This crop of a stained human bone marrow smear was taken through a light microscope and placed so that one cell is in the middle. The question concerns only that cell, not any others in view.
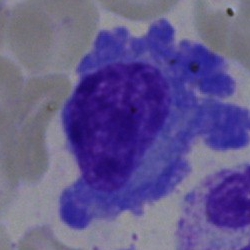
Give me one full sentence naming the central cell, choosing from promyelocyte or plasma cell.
Centred in the crop is a plasma cell.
